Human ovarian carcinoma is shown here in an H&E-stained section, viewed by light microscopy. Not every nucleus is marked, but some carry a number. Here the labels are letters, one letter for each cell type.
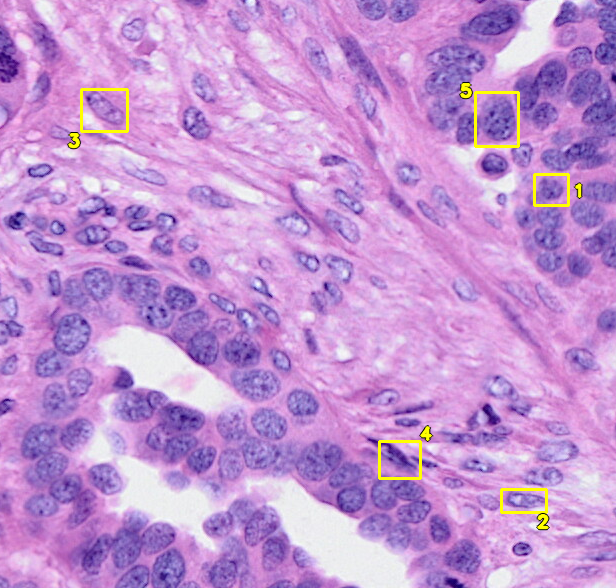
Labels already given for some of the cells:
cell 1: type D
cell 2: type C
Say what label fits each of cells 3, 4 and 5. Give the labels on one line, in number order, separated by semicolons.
type C; type C; type D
